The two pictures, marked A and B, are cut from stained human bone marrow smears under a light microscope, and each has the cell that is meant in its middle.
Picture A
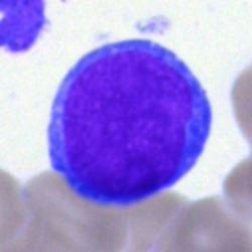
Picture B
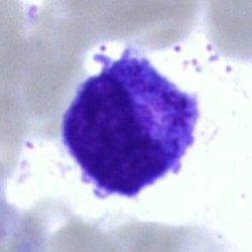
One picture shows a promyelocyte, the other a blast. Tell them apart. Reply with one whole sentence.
It is picture A that shows a blast, and picture B that shows a promyelocyte.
